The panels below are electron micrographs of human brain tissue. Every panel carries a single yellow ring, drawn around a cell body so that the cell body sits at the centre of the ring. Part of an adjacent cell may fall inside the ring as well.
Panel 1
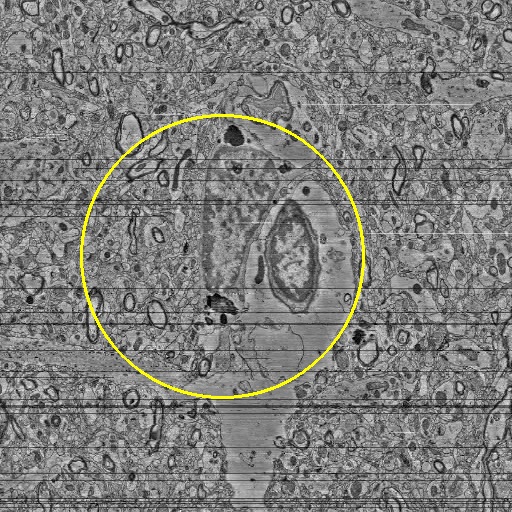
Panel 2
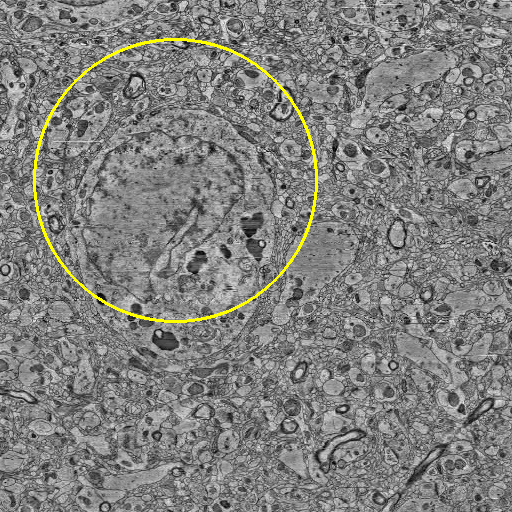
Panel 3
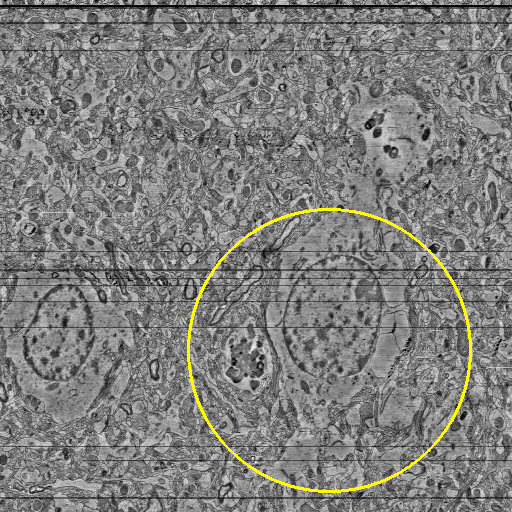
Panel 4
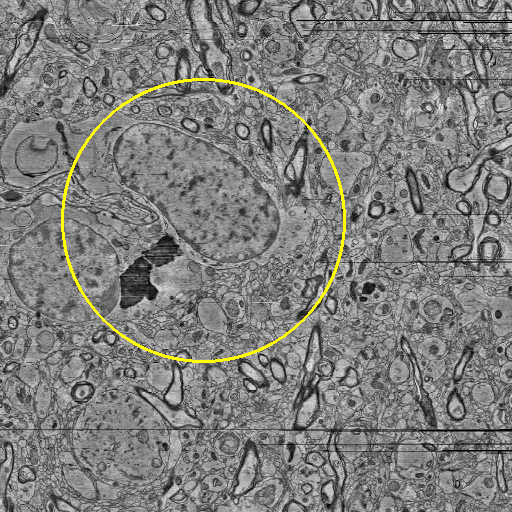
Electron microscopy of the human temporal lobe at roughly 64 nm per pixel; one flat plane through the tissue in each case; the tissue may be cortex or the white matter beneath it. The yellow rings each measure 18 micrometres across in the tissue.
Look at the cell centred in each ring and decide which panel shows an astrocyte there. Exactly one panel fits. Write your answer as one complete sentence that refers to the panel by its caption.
Panel 3 has it at the centre of its ring.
